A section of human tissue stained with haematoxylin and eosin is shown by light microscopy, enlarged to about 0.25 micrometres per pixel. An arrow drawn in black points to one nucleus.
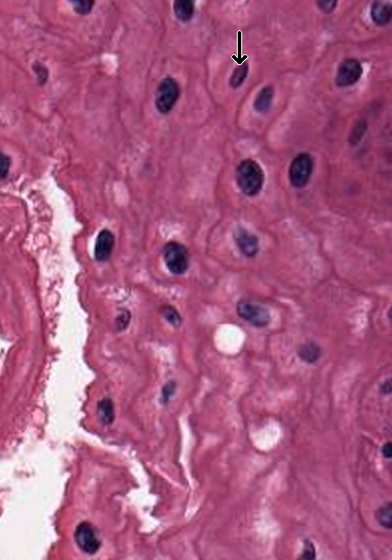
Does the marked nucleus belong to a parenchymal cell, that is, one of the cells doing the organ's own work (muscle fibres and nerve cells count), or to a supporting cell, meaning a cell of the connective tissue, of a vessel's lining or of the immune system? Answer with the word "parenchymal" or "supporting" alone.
parenchymal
